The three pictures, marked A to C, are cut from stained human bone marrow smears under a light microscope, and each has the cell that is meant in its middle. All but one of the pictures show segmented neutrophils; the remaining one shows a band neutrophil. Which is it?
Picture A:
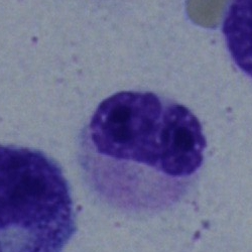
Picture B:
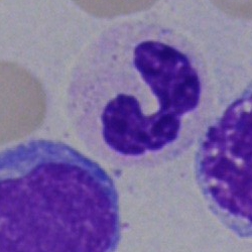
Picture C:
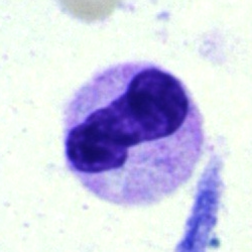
C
